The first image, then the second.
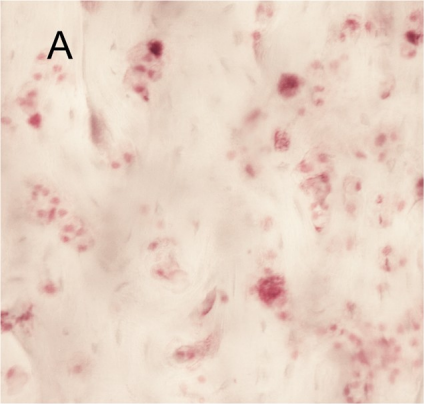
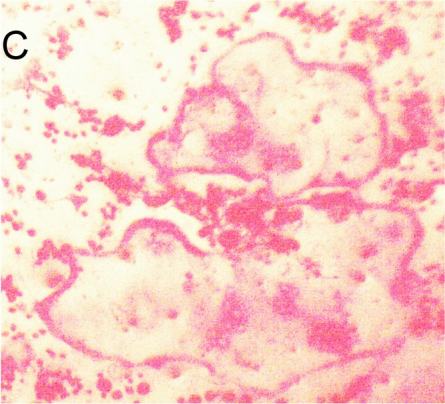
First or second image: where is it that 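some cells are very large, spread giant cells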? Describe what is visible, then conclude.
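First image: the stained cells are small and scattered, none much larger than its neighbours. Second image: several cells are far larger than the rest, with wide spread cytoplasm and outlined borders.
Conclusion: the second image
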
